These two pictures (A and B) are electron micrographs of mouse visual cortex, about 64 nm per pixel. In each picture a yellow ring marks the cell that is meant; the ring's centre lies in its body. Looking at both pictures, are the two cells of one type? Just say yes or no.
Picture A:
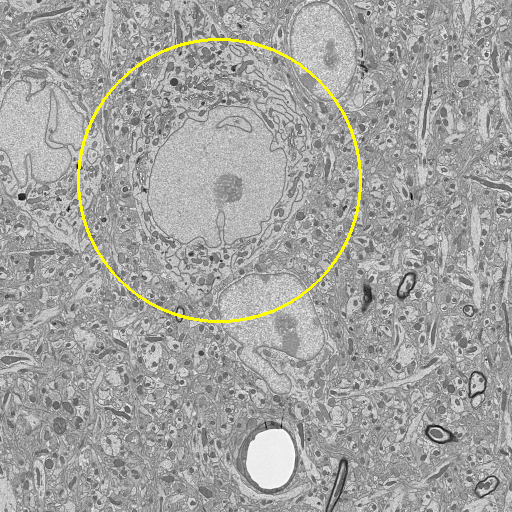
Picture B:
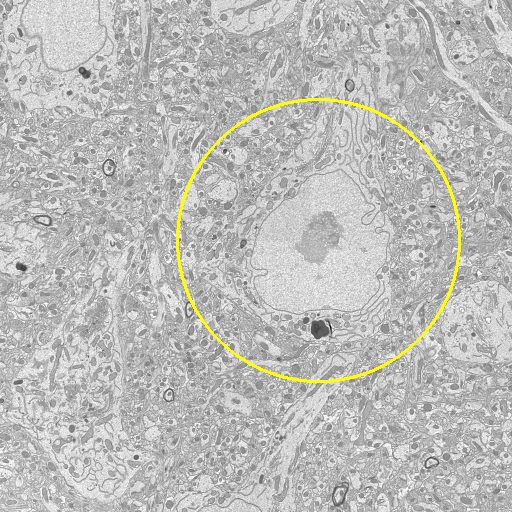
yes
